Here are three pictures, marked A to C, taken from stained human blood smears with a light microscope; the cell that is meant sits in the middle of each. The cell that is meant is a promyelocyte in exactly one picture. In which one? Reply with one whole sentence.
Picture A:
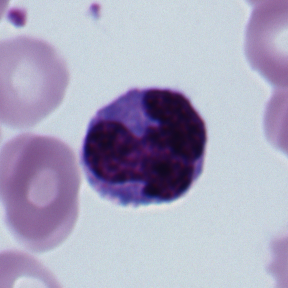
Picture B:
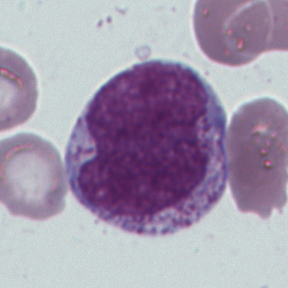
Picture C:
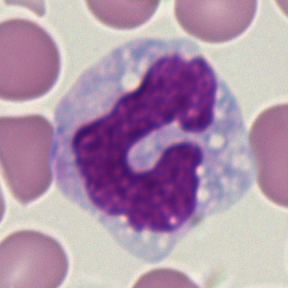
The promyelocyte is the one in picture B.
